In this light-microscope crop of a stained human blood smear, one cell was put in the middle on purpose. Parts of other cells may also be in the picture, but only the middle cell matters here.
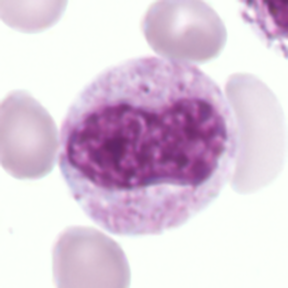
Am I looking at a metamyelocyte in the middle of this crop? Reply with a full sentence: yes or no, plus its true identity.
Yes, what sits in the middle of the crop is a metamyelocyte.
